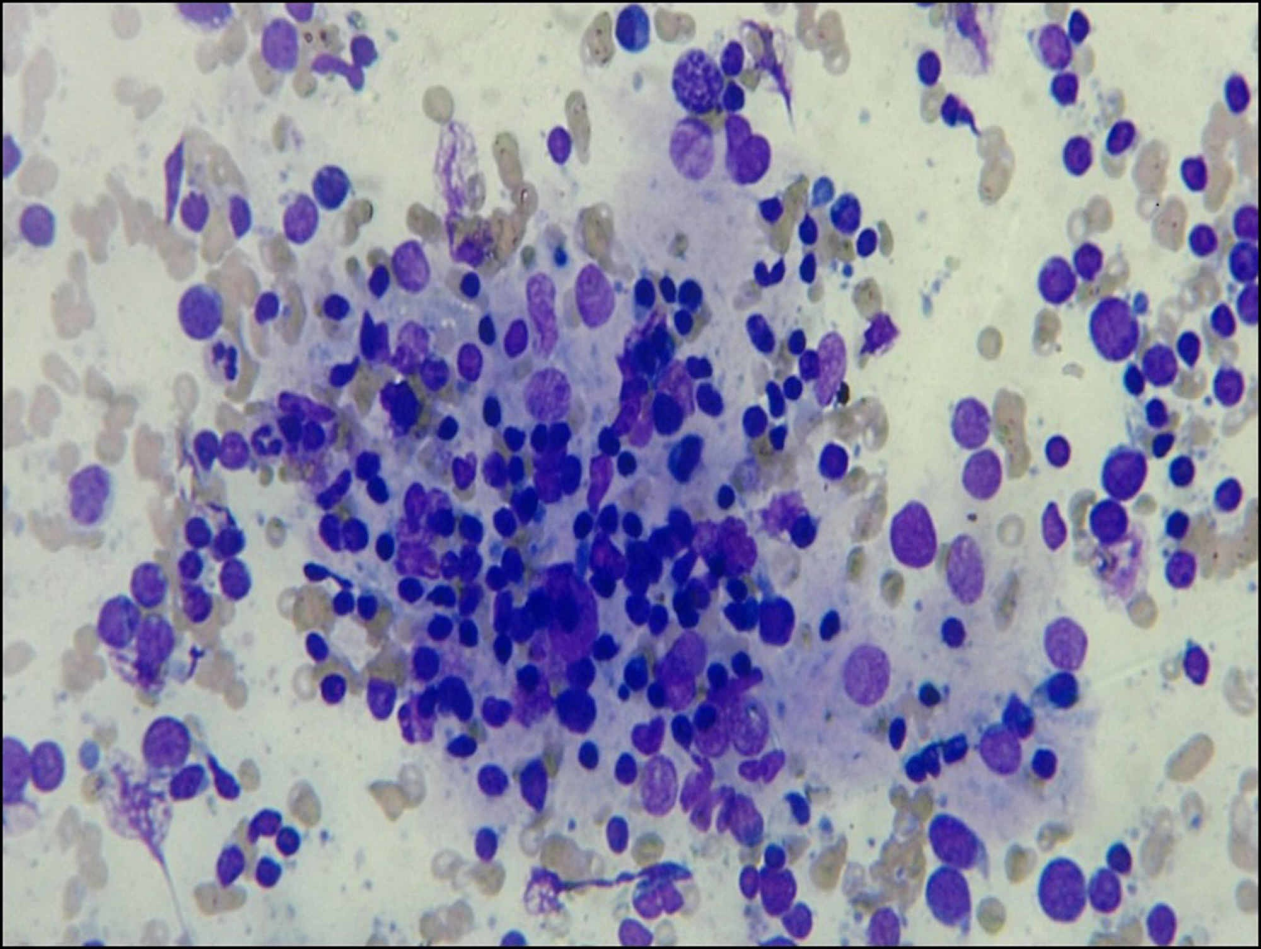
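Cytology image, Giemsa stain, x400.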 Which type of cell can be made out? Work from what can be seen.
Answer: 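Numerous small round cells with dense, dark blue-purple nuclei and scant cytoplasm. These small dark cells lie scattered among and within a cluster of larger cells with paler, oval nuclei. That points to this answer: lymphocyte.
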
